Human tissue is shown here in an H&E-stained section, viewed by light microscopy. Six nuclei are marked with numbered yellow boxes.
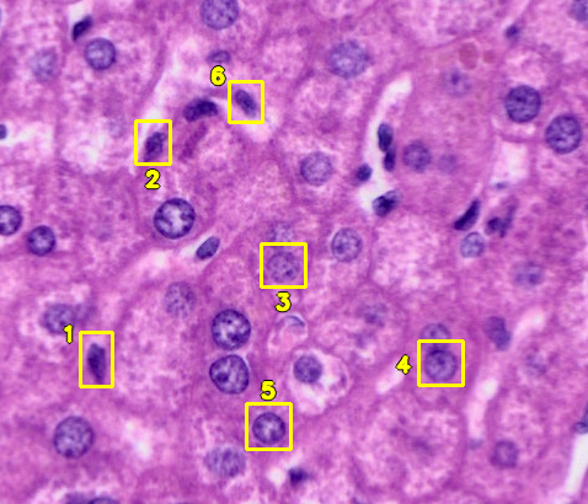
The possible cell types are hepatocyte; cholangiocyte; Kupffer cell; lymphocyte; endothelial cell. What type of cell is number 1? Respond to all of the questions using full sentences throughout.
The nucleus with number 1 is that of an endothelial cell.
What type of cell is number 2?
The cell marked with the number 2 is a Kupffer cell.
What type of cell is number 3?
Denoted by the label 3 in the section is a hepatocyte.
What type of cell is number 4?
The cell with the number 4 is a hepatocyte.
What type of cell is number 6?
The cell indicated by marker 6 is a Kupffer cell in this section.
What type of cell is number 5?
The cell carrying label 5 is identified as a hepatocyte.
